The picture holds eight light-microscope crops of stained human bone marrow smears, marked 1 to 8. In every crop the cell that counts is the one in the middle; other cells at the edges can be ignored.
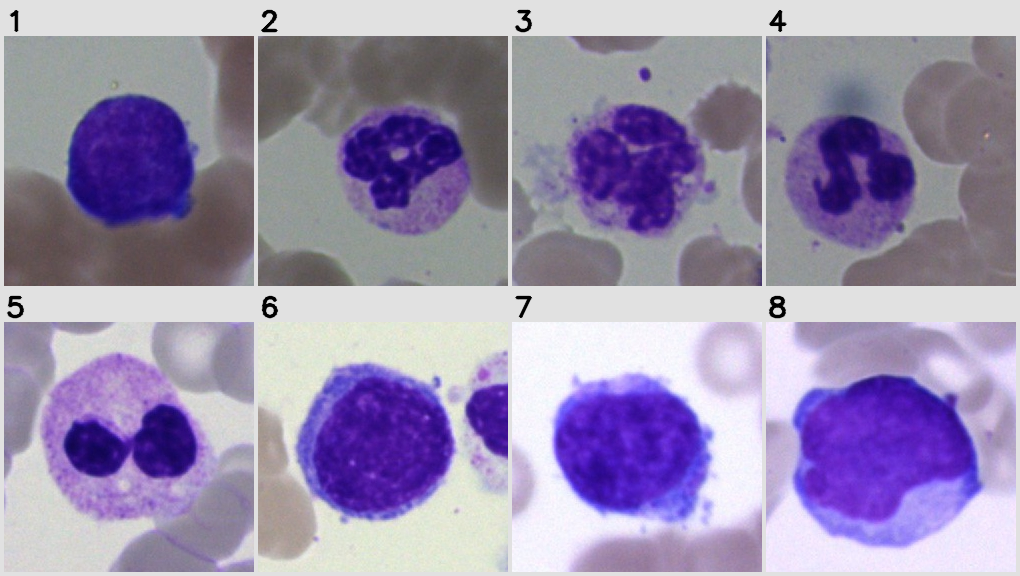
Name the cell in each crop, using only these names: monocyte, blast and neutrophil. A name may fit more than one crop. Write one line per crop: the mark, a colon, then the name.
1: blast
2: neutrophil
3: neutrophil
4: neutrophil
5: neutrophil
6: blast
7: blast
8: blast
